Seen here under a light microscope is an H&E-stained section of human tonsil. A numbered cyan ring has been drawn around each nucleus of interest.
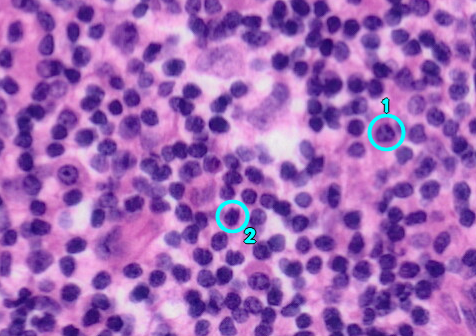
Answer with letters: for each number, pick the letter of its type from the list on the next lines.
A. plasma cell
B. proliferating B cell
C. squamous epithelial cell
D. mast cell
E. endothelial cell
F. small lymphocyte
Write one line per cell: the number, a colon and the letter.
1: A
2: F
